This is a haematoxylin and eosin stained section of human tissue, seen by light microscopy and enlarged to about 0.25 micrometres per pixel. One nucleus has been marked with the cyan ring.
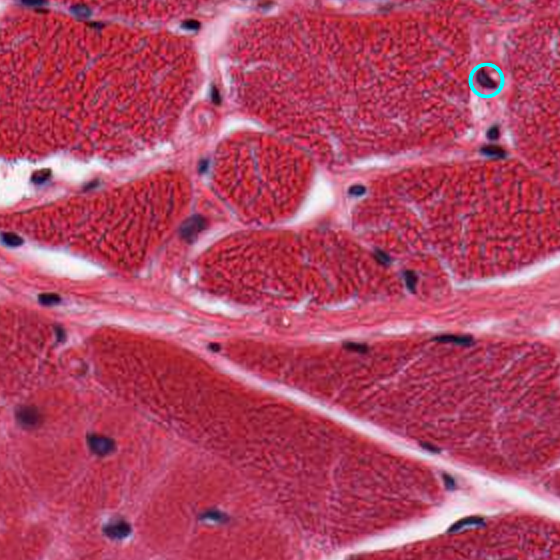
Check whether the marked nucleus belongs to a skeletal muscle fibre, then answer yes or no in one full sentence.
No, the cell to which the marked nucleus belongs is a supporting cell rather than a skeletal muscle fibre.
